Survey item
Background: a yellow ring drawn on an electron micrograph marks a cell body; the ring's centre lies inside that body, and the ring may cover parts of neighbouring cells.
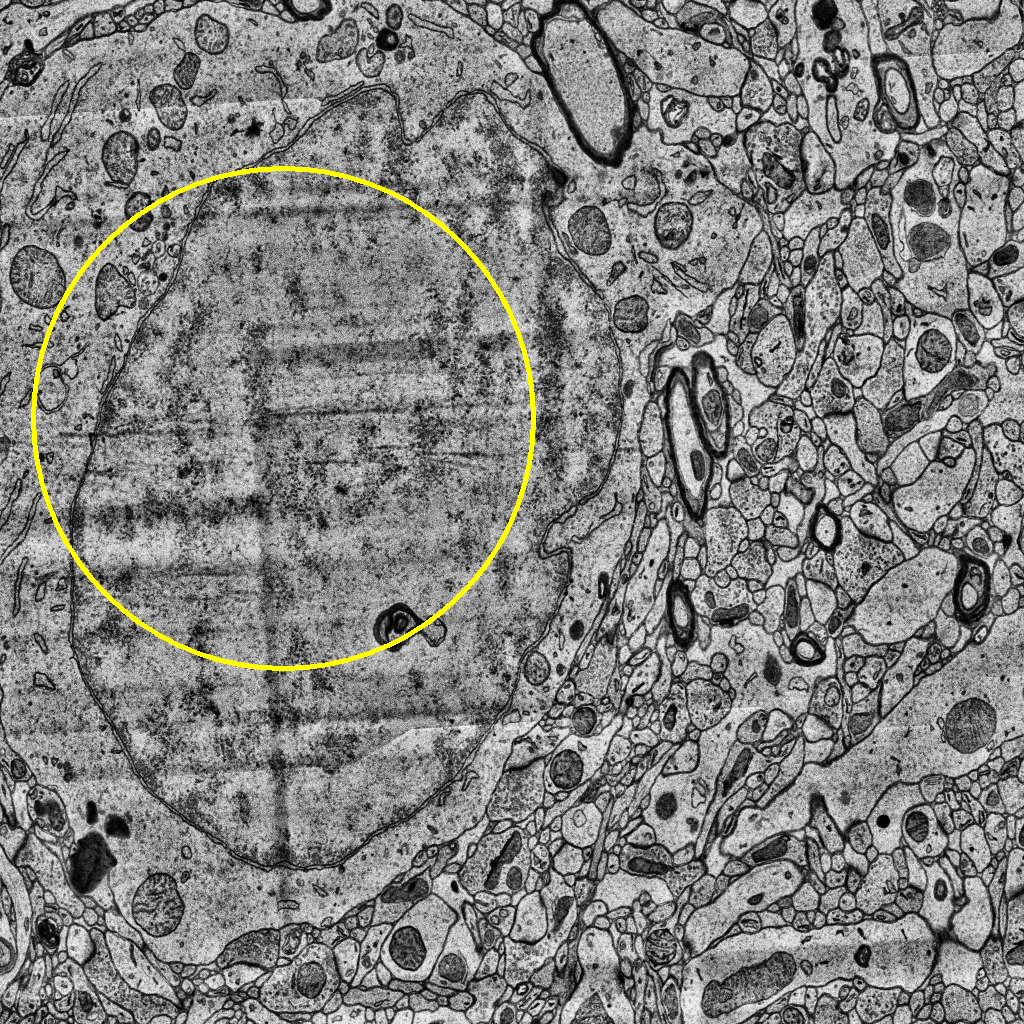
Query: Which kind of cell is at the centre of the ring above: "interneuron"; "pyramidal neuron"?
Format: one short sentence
The cell in the middle of the ring is an interneuron.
